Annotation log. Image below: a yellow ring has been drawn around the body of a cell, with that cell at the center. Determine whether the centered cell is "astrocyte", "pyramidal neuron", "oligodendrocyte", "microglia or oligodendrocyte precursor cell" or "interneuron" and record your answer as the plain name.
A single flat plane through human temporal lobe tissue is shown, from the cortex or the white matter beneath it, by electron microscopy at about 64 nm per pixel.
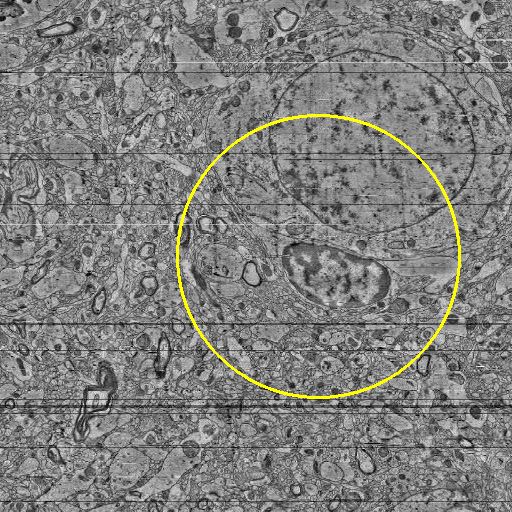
microglia or oligodendrocyte precursor cell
